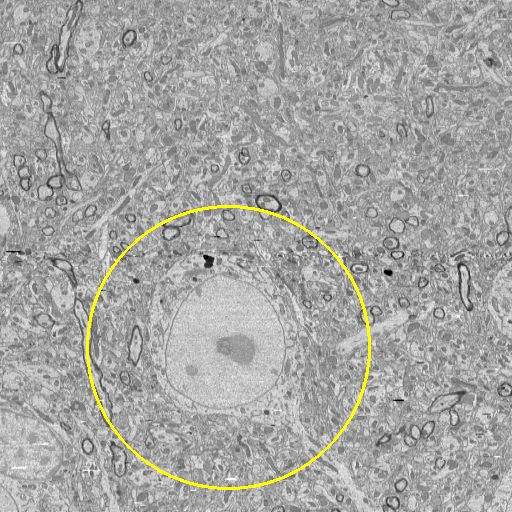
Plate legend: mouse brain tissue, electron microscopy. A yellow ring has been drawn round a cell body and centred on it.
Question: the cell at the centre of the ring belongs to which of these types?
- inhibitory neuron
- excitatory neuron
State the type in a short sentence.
The cell in the middle of the ring is an excitatory neuron.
